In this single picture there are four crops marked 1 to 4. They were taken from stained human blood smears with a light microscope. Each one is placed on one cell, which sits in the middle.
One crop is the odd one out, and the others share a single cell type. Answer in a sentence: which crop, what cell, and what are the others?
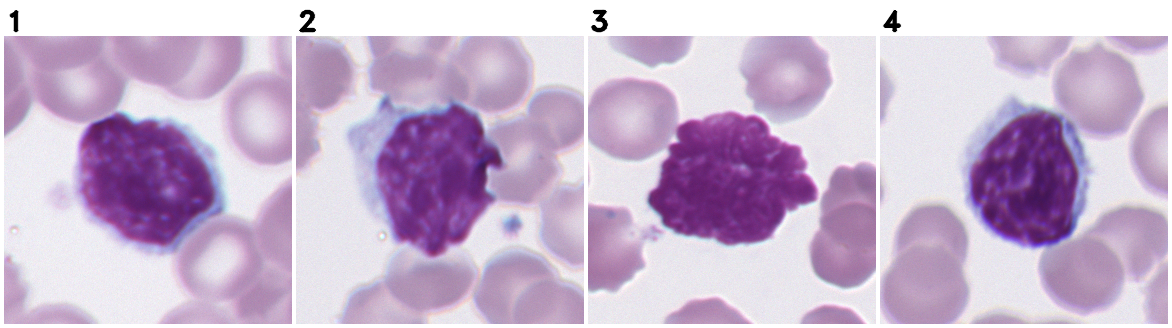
Crop 3 is the exception in this set, showing a smudge cell while the others show typical lymphocytes.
